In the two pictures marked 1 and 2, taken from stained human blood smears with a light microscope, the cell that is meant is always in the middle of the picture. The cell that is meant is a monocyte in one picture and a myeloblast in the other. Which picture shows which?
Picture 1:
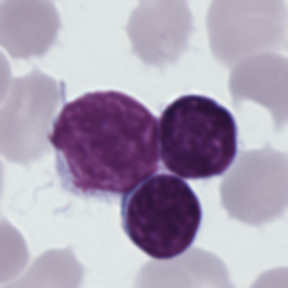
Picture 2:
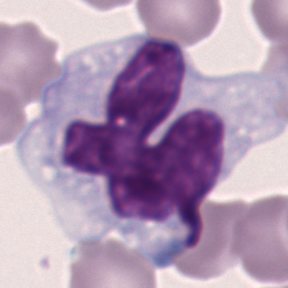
1: myeloblast
2: monocyte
